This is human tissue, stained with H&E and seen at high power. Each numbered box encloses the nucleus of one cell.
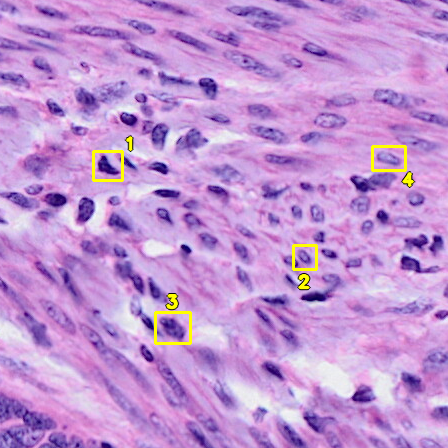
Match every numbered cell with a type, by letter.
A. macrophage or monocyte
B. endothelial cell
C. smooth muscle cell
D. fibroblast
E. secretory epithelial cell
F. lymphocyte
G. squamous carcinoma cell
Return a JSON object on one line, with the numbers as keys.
{"1": "F", "2": "C", "3": "F", "4": "C"}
